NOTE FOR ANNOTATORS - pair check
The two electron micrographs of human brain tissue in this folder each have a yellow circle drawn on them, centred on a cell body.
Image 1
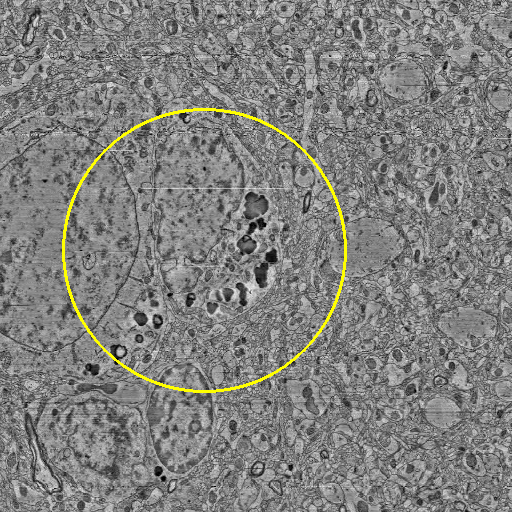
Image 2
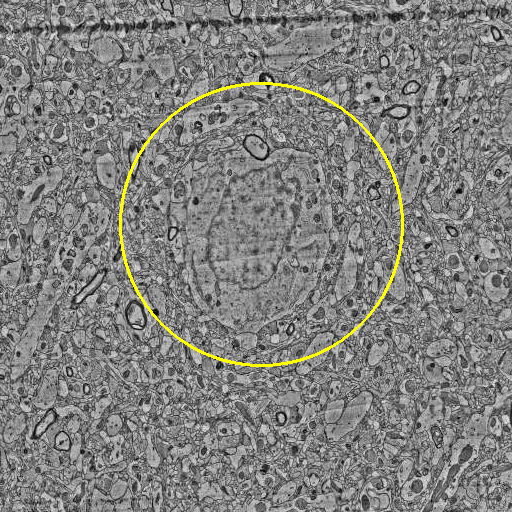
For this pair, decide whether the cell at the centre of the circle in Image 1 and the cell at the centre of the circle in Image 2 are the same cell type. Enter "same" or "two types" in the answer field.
same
